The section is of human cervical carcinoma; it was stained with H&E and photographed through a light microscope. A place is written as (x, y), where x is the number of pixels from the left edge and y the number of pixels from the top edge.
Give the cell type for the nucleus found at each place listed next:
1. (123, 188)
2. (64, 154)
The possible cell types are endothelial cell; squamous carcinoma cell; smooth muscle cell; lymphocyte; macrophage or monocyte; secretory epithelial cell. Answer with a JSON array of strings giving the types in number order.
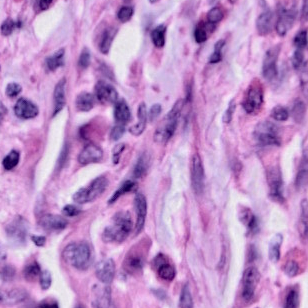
["lymphocyte", "endothelial cell"]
